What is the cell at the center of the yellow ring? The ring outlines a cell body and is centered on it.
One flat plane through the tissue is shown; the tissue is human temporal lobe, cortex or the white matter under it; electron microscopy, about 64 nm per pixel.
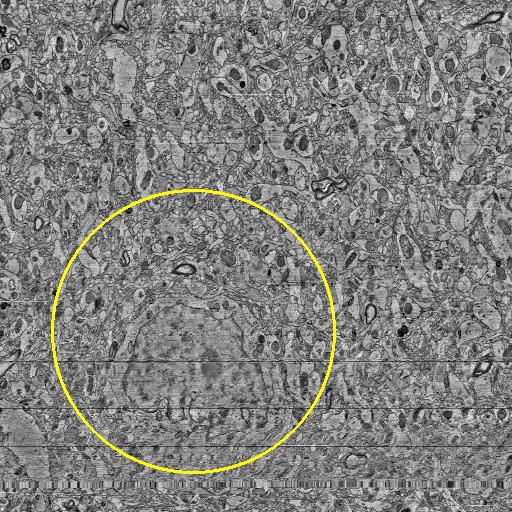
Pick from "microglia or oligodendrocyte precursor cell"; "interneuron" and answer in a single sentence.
The yellow ring is centered on an interneuron.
